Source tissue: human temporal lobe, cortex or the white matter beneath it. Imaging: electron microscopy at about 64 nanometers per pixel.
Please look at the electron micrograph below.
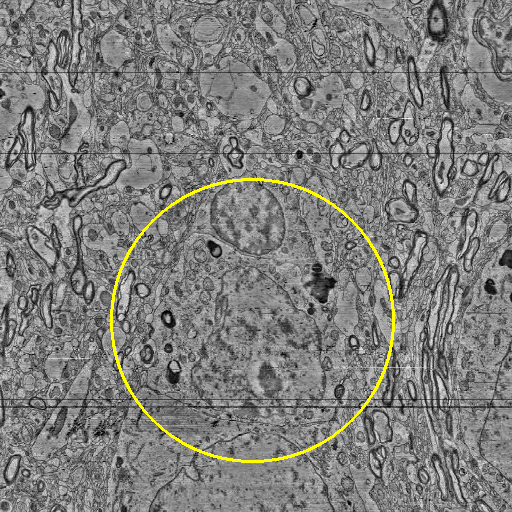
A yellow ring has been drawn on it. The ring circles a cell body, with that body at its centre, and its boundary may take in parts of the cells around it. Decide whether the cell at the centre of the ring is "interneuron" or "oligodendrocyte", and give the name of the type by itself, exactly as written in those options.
interneuron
